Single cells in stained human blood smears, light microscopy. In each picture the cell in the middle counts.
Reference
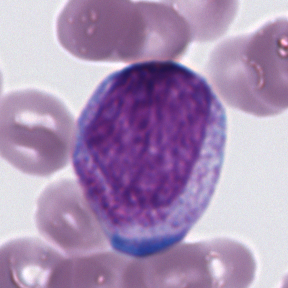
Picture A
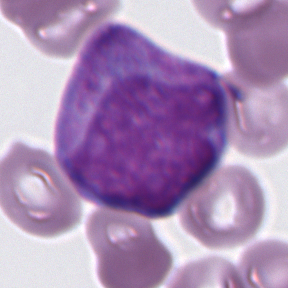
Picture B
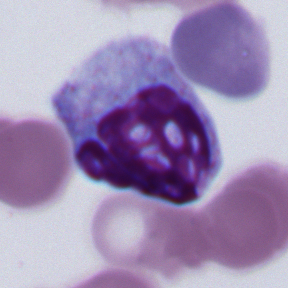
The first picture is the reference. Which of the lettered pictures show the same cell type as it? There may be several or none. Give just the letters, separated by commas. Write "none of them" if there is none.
A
